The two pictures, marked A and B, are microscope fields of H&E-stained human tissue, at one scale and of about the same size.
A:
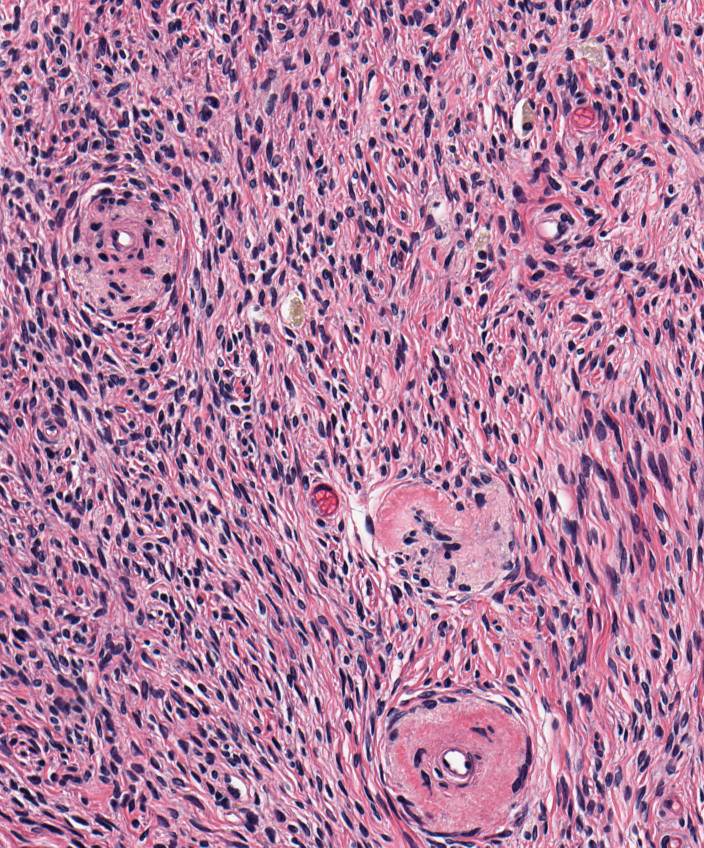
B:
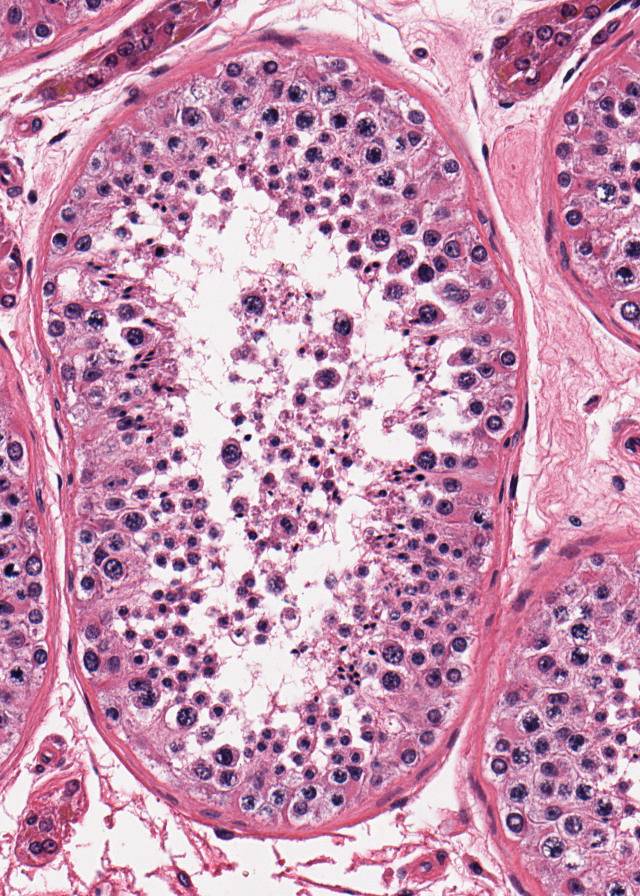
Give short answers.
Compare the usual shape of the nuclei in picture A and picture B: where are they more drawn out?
A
